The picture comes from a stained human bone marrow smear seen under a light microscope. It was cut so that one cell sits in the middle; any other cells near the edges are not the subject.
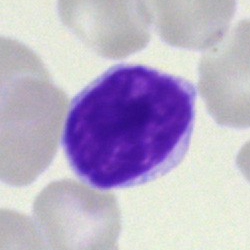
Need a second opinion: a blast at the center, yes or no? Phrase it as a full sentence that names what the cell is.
No, the central cell is classed as a lymphocyte and not as a blast.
